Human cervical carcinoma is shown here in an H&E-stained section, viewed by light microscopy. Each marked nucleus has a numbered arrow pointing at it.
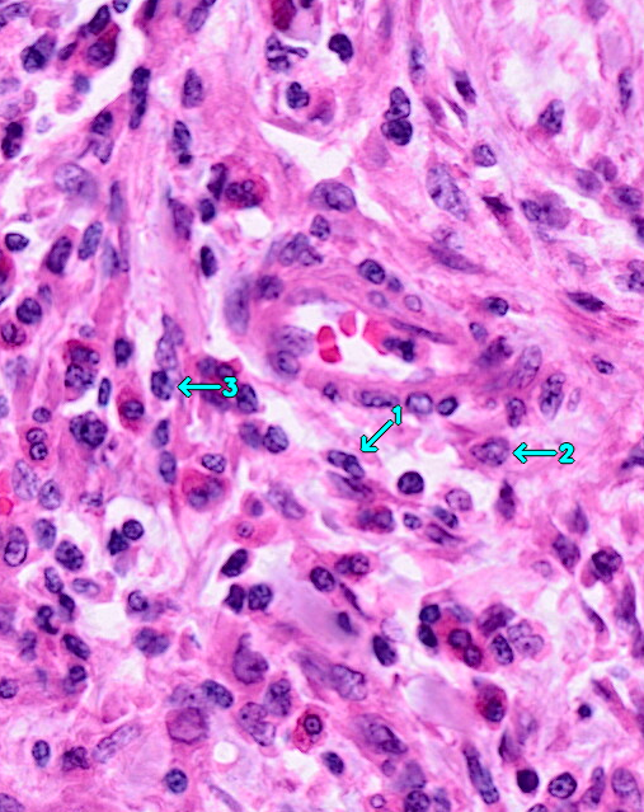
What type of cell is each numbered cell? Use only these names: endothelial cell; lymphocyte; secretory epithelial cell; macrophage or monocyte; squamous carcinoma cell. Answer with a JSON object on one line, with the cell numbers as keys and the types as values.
{"1": "lymphocyte", "2": "macrophage or monocyte", "3": "lymphocyte"}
